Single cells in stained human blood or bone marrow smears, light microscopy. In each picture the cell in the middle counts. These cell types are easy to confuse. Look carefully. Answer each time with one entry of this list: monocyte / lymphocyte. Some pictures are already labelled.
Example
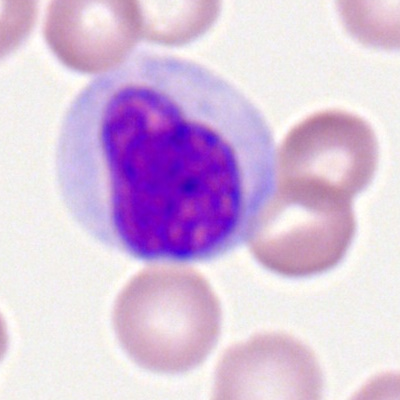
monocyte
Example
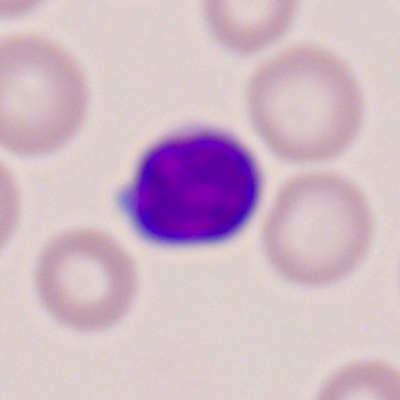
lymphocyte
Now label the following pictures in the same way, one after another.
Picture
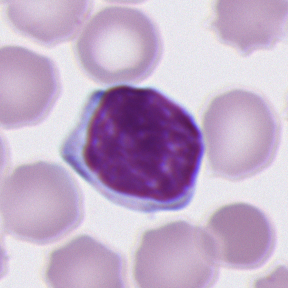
lymphocyte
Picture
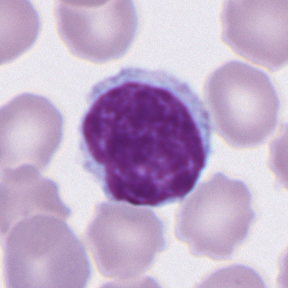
lymphocyte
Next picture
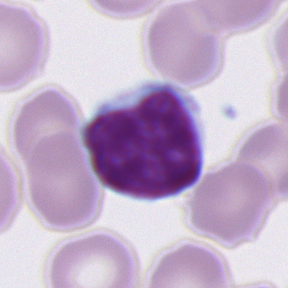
lymphocyte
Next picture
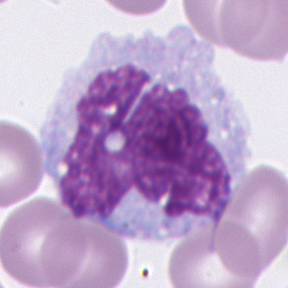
monocyte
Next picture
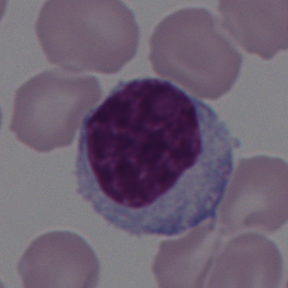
lymphocyte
